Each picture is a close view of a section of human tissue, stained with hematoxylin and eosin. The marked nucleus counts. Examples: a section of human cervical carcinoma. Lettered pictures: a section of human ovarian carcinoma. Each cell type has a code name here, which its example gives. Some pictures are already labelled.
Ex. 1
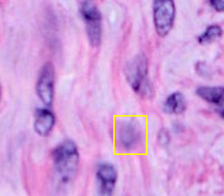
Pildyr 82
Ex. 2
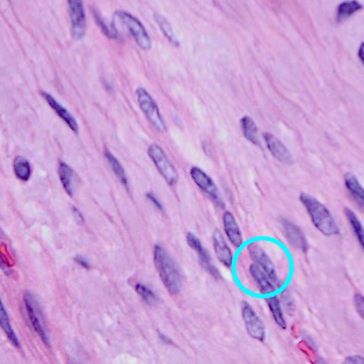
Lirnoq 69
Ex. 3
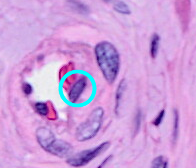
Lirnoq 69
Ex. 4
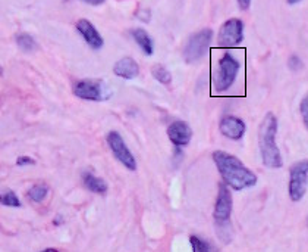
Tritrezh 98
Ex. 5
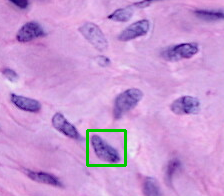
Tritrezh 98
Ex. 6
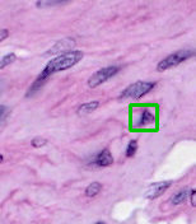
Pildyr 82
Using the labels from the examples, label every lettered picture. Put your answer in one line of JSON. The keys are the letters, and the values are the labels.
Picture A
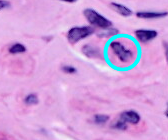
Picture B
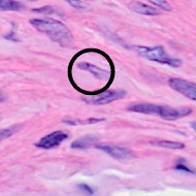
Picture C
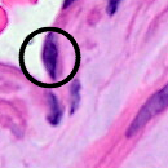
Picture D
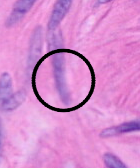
{"A": "Lirnoq 69", "B": "Pildyr 82", "C": "Lirnoq 69", "D": "Pildyr 82"}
